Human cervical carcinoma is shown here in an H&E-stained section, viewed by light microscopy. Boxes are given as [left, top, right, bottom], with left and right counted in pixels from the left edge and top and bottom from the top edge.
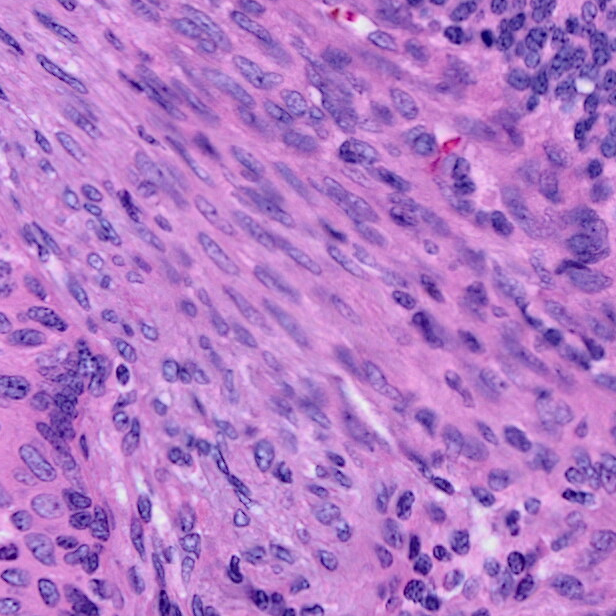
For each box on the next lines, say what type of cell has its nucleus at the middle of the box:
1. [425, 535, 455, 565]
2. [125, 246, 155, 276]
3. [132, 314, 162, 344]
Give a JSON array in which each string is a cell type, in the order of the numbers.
["lymphocyte", "smooth muscle cell", "smooth muscle cell"]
